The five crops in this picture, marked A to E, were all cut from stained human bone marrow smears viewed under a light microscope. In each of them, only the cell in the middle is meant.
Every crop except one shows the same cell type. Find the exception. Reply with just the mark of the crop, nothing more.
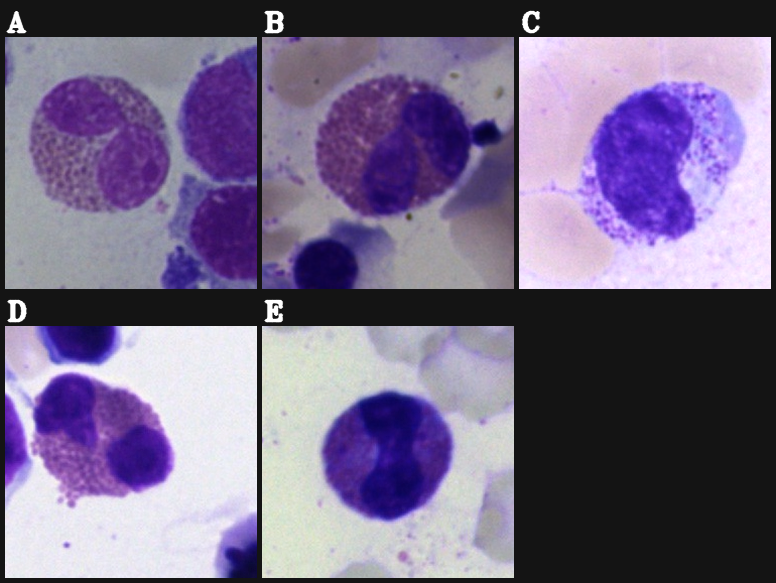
C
